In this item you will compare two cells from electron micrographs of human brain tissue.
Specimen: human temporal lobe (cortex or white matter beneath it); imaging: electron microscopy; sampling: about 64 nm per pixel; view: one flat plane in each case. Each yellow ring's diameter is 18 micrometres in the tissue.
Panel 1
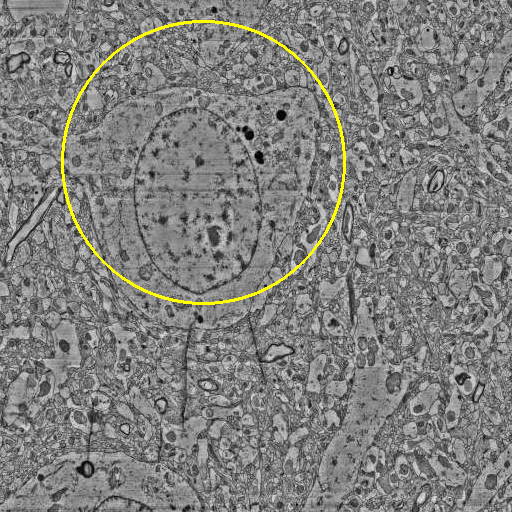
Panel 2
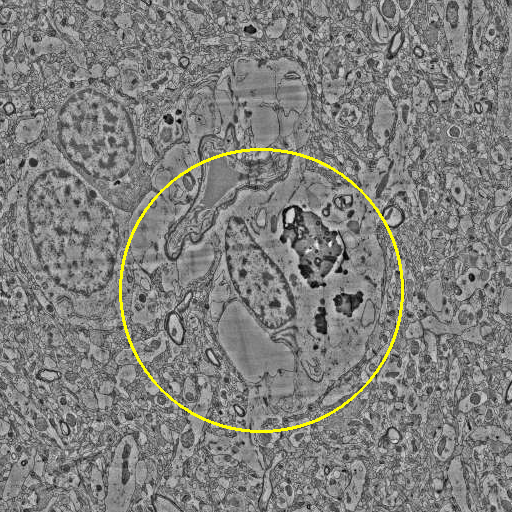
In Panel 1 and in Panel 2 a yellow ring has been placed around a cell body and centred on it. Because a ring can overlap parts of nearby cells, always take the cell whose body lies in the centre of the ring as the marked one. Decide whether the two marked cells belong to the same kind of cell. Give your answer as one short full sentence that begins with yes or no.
No, the two marked cells belong to two kinds of cell.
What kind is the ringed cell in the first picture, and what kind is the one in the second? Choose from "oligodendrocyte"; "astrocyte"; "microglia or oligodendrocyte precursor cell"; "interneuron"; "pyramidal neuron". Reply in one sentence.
The first cell is a pyramidal neuron; the second is an astrocyte.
